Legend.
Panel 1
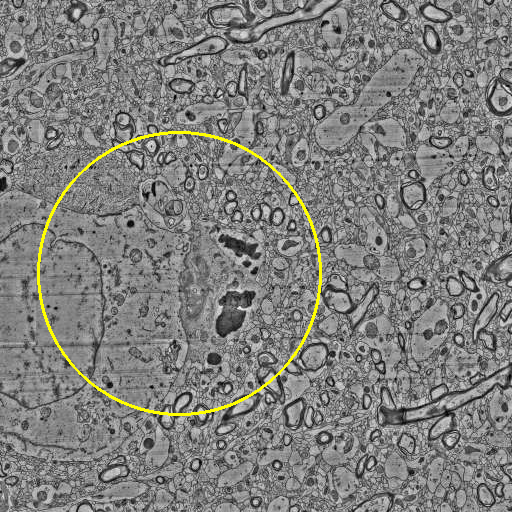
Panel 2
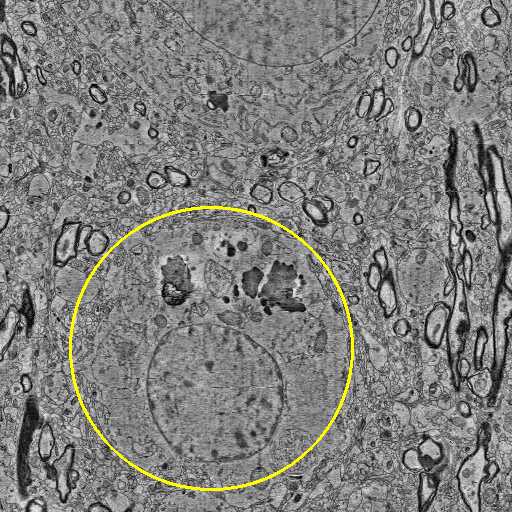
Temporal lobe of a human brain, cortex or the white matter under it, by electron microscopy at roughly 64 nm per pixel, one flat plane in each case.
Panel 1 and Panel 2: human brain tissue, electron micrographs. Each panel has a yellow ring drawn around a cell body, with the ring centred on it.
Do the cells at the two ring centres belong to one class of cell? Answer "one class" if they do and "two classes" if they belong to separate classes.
two classes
